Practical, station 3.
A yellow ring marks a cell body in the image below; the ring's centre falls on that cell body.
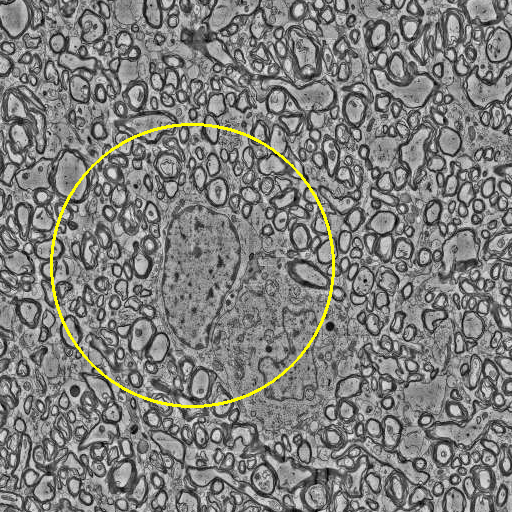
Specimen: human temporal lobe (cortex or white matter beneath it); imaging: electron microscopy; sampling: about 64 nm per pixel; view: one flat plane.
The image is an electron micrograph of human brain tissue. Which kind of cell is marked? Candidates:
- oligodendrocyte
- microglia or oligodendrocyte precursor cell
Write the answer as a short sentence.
The marked cell body is that of a microglial cell or oligodendrocyte precursor cell.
